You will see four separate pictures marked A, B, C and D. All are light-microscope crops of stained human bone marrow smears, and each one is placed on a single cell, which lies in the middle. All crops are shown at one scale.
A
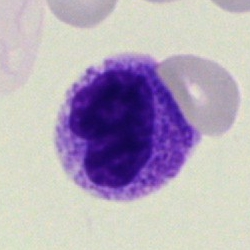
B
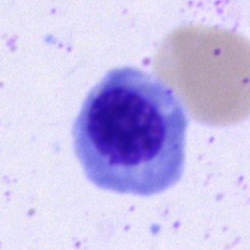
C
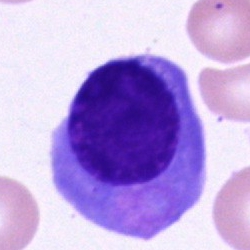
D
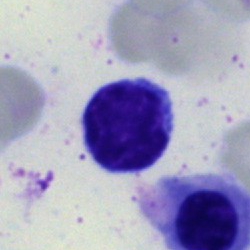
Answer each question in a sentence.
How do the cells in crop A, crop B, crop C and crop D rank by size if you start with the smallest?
Going up, they run D, B, A, C.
